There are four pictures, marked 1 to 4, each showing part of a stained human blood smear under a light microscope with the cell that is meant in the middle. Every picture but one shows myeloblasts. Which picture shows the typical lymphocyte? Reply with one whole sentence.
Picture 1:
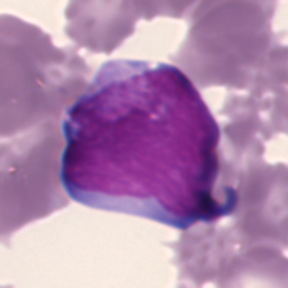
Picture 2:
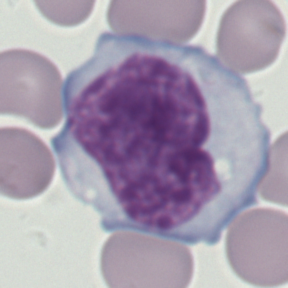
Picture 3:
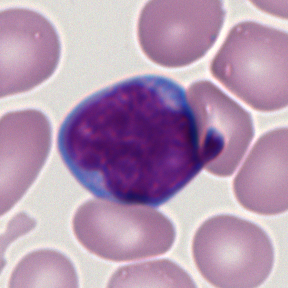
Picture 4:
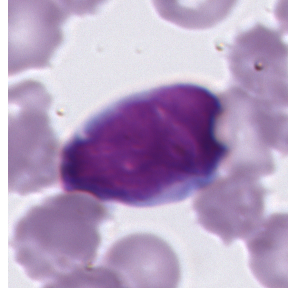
It is picture 3 that shows the typical lymphocyte.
